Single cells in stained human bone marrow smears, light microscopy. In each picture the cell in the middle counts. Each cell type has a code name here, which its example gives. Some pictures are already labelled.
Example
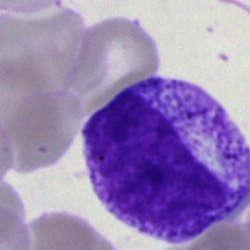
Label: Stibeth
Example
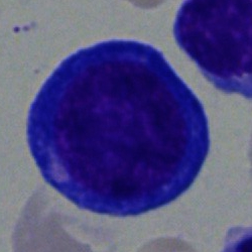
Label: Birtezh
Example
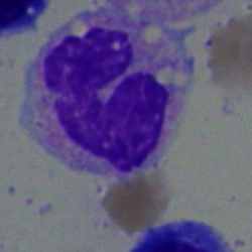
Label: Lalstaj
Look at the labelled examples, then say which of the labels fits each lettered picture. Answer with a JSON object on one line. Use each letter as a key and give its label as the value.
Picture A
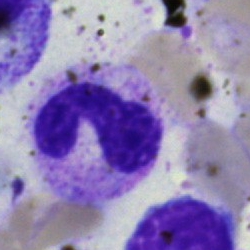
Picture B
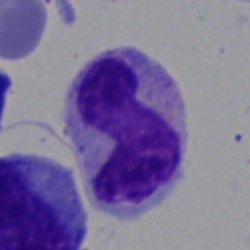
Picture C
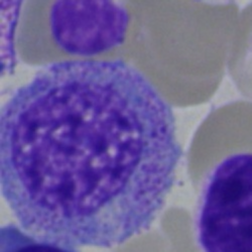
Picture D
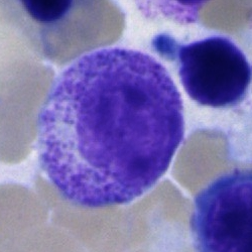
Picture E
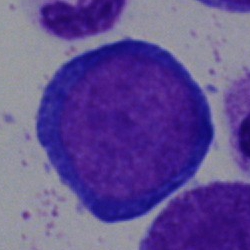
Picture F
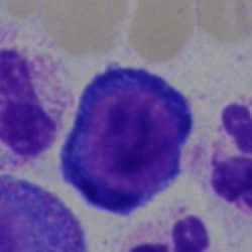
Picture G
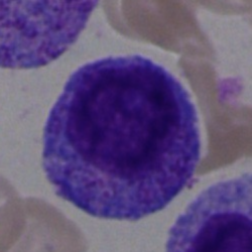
{"A": "Lalstaj", "B": "Lalstaj", "C": "Stibeth", "D": "Stibeth", "E": "Birtezh", "F": "Birtezh", "G": "Stibeth"}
